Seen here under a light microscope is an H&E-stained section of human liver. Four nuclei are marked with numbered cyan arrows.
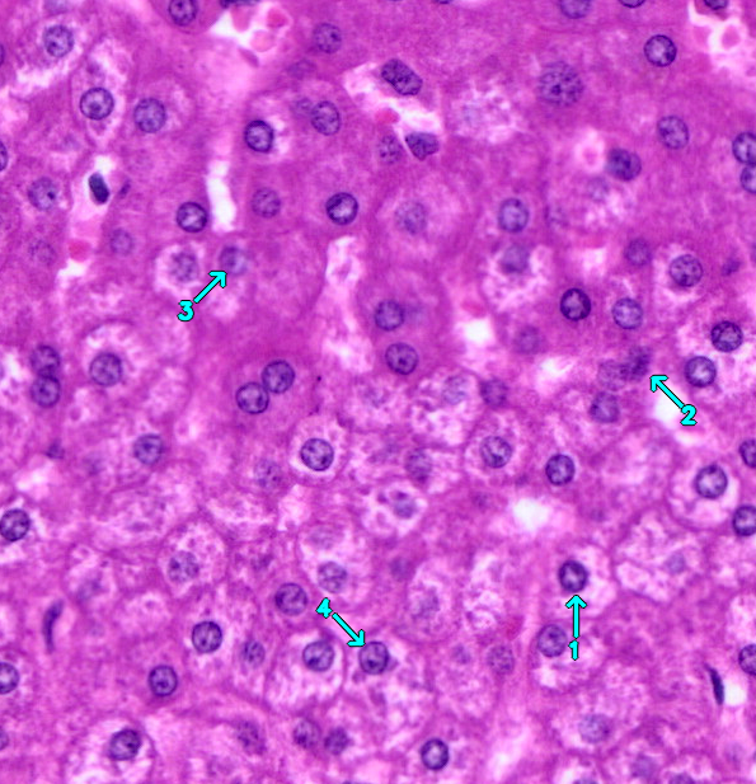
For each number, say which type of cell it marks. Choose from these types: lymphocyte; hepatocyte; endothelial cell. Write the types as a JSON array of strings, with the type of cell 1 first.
["hepatocyte", "endothelial cell", "hepatocyte", "hepatocyte"]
